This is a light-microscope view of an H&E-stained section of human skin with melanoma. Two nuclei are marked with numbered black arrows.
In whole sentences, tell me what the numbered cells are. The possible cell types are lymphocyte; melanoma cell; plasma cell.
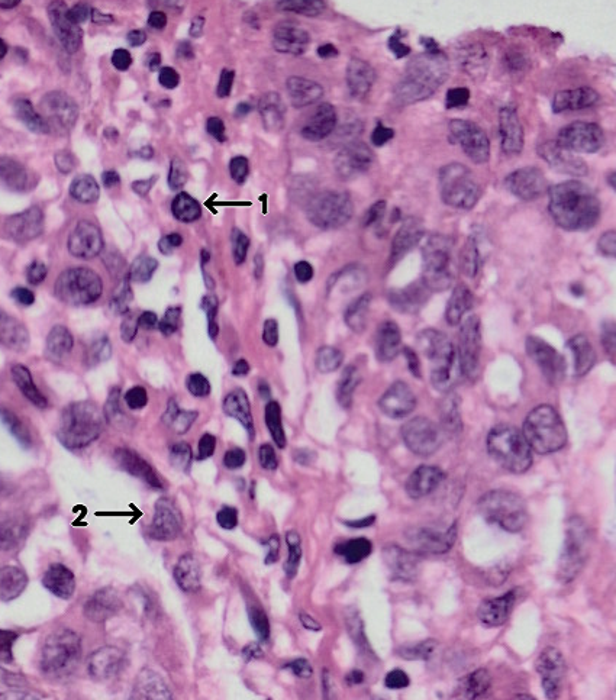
Cell 1 is a plasma cell. Cell 2 is a melanoma cell.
